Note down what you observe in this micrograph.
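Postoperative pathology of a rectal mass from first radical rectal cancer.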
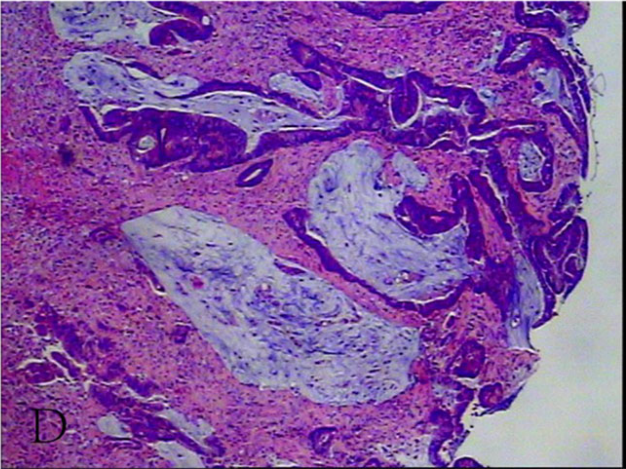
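The glands vary in size and shape; some branch or merge, and some hold several small lumina in a sieve-like pattern. They lie scattered through a pink, cellular stroma rather than forming an orderly layer of mucosa.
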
